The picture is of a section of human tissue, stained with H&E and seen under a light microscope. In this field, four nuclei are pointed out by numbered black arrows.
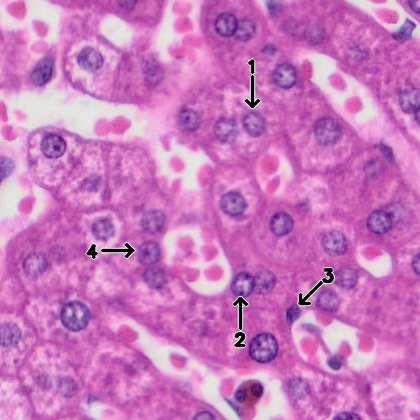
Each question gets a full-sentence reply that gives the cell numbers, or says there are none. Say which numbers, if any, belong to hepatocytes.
The cells carrying the numbers 1, 2 and 4 are hepatocytes.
